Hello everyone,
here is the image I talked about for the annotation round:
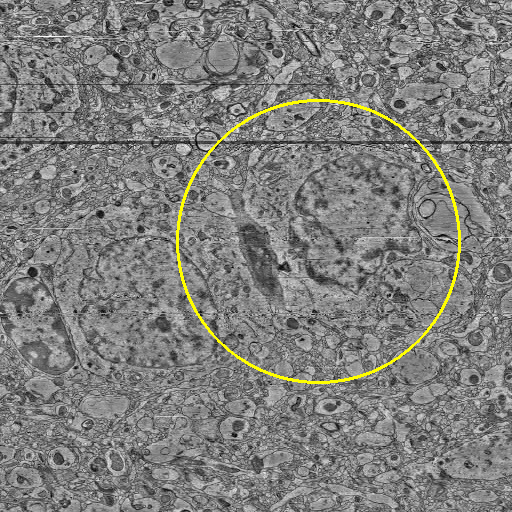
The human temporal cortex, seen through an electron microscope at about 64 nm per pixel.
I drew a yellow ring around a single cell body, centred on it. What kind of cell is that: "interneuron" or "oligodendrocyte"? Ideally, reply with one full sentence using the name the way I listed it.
The cell your yellow ring is centred on is an interneuron, going by your list.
